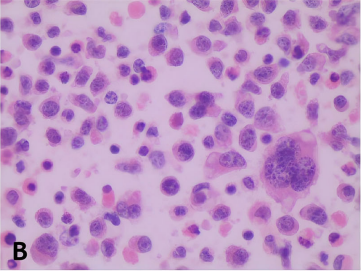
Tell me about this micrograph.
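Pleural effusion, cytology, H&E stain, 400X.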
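Scattered, discohesive atypical lymphoid cells of moderate size with round to oval nuclei, coarse granular chromatin and a rim of pink cytoplasm. A large multinucleated giant cell with abundant cytoplasm lies on the right among the smaller cells. Small dark lymphocytes and red blood cells are interspersed.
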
